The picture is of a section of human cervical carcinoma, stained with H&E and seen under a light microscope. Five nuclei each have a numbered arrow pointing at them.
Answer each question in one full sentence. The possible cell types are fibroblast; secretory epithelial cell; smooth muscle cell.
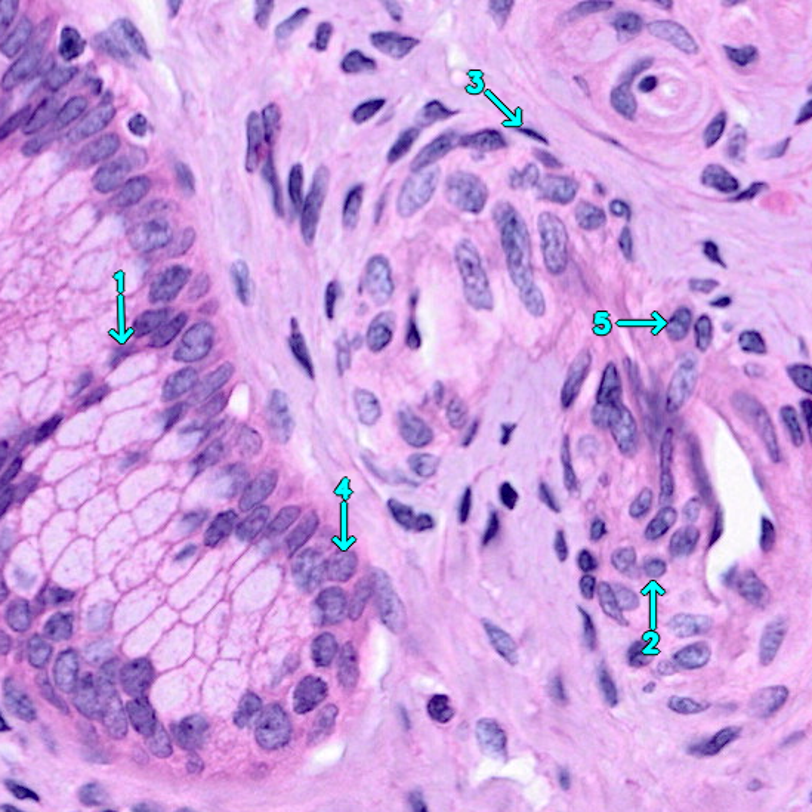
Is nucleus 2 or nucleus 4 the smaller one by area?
Nucleus 2 covers less area, with nucleus 4 about 1.5 times as large.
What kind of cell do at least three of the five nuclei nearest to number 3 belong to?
Smooth muscle cells account for more than half of the five nuclei nearest to number 3.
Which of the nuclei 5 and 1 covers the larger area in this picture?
Nucleus 5 is the larger one, covering about 1.5 times the area of nucleus 1.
